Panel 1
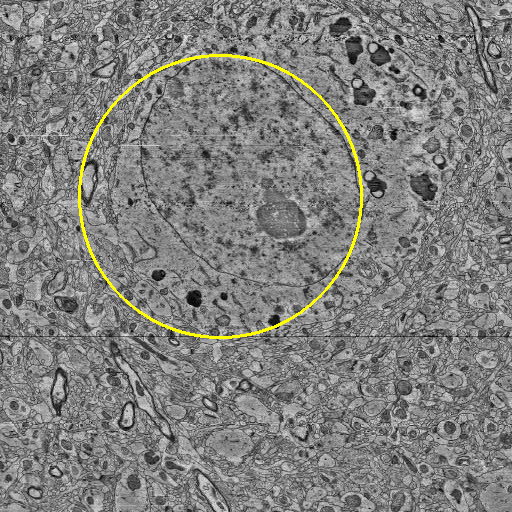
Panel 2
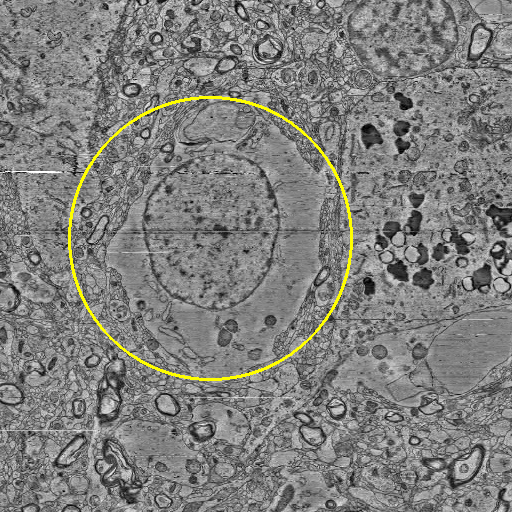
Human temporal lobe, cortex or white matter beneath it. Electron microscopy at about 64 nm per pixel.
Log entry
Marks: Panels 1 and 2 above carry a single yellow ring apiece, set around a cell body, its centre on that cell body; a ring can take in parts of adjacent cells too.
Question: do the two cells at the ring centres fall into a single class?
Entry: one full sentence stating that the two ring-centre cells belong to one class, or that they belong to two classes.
The two ring-centre cells in Panels 1 and 2 belong to two classes.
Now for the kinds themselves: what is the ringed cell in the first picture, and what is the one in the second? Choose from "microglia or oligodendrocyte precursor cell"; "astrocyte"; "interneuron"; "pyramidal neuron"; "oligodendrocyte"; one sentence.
Here the first cell is a pyramidal neuron and the second cell is an astrocyte.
